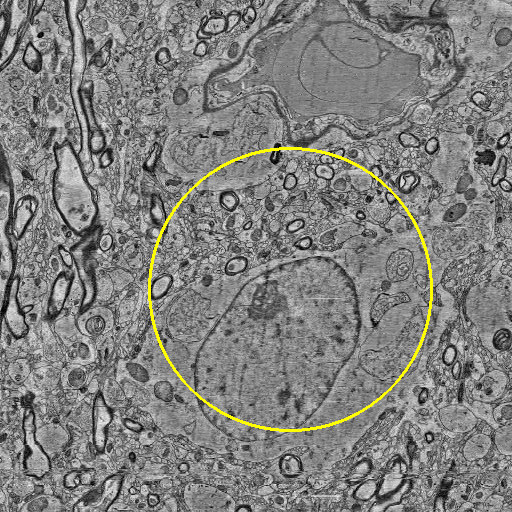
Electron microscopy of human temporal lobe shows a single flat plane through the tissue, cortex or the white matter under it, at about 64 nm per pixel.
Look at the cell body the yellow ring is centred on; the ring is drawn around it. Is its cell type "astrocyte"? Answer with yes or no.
Yes, that is its cell type.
